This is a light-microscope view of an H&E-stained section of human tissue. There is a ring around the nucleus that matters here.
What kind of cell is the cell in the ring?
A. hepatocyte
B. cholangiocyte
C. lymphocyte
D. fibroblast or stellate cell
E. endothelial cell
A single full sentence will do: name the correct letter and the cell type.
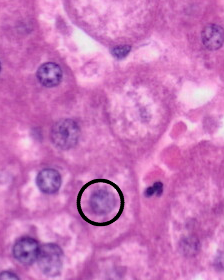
Among the choices, option A is correct, the cell in the ring being a hepatocyte.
